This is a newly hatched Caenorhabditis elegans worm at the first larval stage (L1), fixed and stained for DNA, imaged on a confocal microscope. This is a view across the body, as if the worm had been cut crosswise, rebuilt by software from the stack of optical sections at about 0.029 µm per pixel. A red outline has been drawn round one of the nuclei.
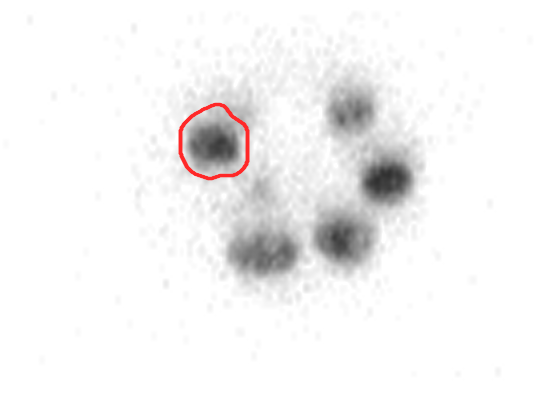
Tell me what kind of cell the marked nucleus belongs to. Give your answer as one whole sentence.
The nucleus comes from a body wall muscle cell.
